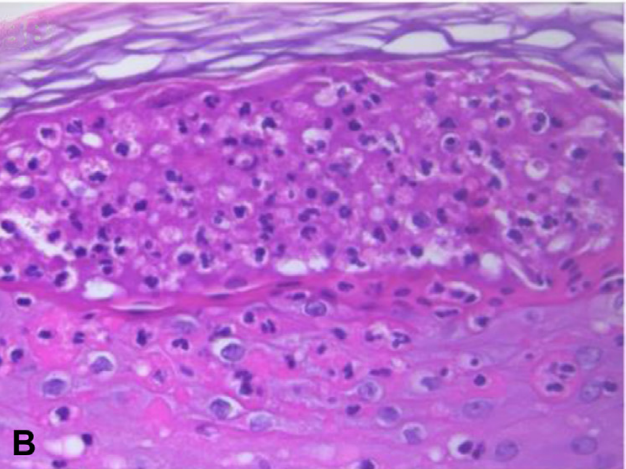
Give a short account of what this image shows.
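Upper epidermis with a pustule lying just beneath the cornified layer. The pustule is packed with small cells with dark, lobed nuclei, among paler swollen keratinocytes. Below it, keratinocytes have pale pink cytoplasm and widened spaces between them, with scattered small dark inflammatory cells migrating among them. The cornified layer above is thin and basket-woven.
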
